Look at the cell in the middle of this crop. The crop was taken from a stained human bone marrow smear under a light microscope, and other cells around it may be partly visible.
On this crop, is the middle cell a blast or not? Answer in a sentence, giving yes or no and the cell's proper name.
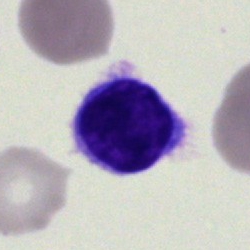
No, the centered cell is a lymphocyte and not a blast at all.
